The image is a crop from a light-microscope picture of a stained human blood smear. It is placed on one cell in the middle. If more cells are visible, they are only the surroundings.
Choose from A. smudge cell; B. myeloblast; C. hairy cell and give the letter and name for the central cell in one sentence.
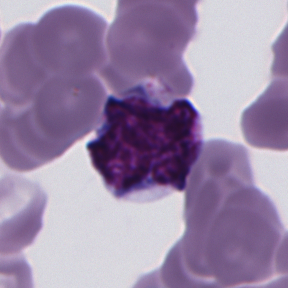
Option B is the right one, for the cell in the middle is a myeloblast.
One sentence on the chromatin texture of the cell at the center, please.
One feature to record is coarsely clumped chromatin.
